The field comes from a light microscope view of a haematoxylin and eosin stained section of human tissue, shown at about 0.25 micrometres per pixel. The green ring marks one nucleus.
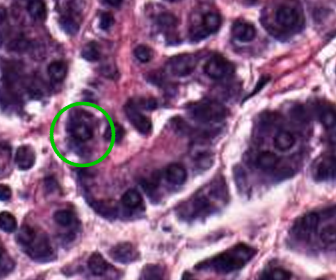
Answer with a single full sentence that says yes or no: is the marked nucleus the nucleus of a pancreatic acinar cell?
Yes, a pancreatic acinar cell contains the marked nucleus.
